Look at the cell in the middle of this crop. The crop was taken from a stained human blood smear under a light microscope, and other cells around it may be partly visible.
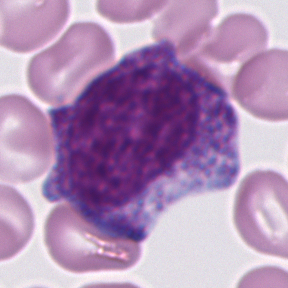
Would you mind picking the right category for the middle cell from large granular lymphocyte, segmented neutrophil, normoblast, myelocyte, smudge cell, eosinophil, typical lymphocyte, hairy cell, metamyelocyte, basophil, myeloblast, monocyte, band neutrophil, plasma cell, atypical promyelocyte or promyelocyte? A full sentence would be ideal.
In the middle of this smear crop is a promyelocyte.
